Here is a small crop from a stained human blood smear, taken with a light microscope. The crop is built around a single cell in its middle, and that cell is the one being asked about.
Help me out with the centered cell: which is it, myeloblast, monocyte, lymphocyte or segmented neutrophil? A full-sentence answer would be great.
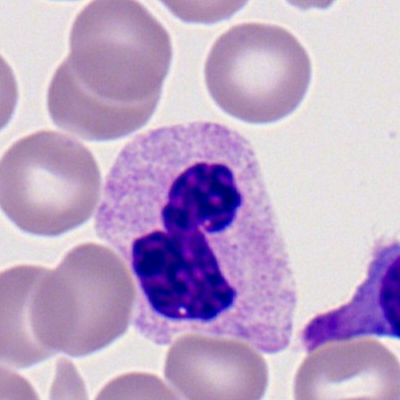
The cell at the heart of this crop is a segmented neutrophil.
